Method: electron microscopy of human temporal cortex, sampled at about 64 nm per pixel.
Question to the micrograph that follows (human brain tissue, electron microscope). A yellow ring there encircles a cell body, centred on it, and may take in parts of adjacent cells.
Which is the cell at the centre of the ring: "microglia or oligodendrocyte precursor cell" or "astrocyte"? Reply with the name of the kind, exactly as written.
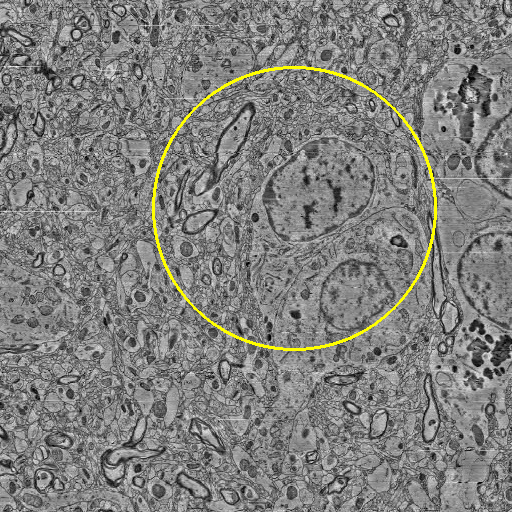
microglia or oligodendrocyte precursor cell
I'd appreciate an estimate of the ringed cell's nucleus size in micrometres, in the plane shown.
Approximately 8 x 6 micrometres in this plane.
